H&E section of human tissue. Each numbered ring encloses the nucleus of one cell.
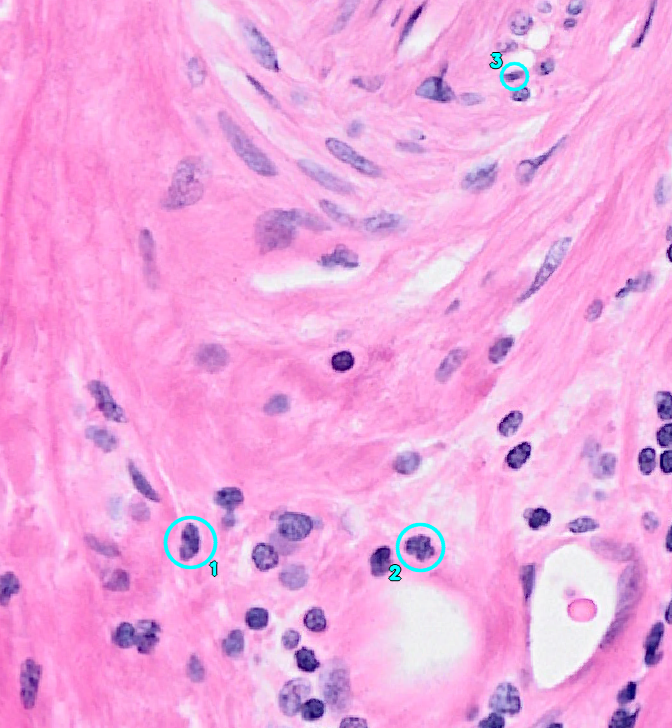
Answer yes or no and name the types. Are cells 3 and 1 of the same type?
No, cell 1 is a lymphocyte, and cell 3 is an endothelial cell.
